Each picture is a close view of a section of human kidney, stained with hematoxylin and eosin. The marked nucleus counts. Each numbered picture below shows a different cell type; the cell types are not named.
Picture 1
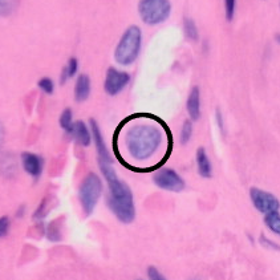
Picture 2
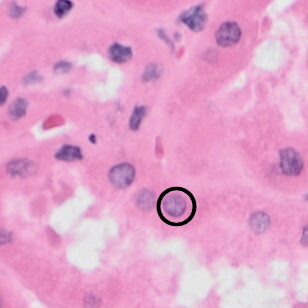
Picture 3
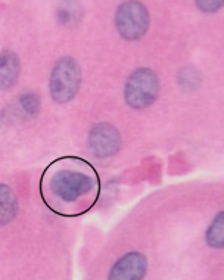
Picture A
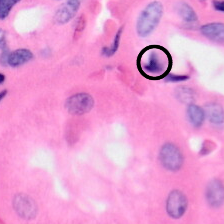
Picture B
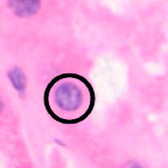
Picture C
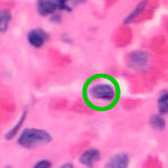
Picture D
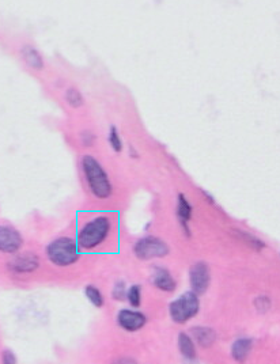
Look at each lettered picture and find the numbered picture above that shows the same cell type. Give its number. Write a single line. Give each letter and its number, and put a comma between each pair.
A 1, B 2, C 3, D 1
